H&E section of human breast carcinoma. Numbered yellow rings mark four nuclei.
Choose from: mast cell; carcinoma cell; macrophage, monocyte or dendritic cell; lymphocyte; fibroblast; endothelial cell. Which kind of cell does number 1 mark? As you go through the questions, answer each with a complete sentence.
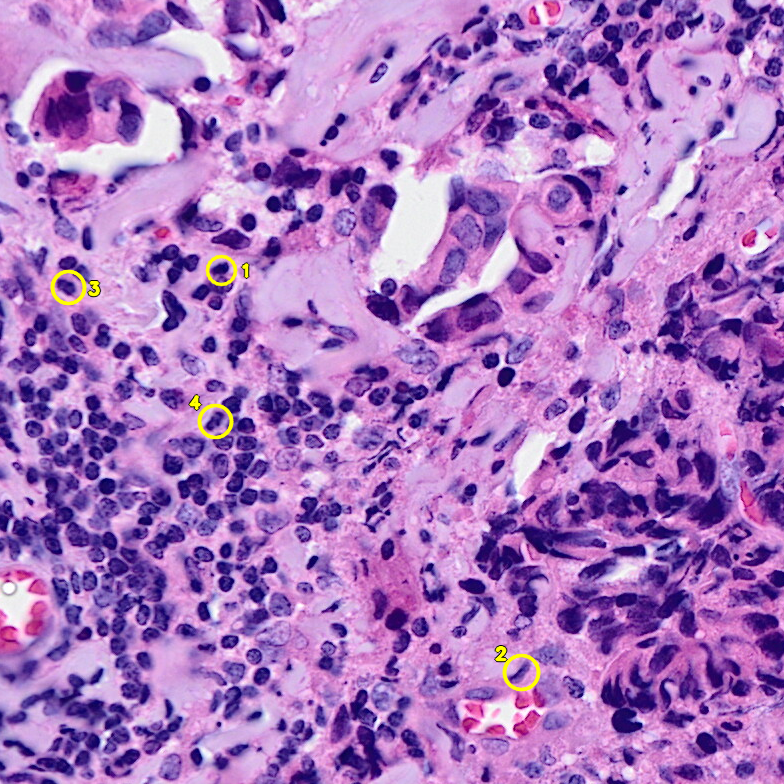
That cell with number 1 is a lymphocyte.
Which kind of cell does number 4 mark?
The numbered cell 4 in this field is a lymphocyte.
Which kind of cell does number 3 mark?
In this section, the cell tagged 3 is a lymphocyte.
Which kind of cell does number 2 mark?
Belonging to an endothelial cell is the nucleus that carries the number 2.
